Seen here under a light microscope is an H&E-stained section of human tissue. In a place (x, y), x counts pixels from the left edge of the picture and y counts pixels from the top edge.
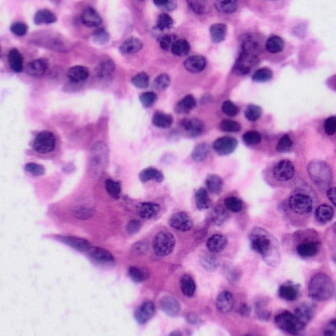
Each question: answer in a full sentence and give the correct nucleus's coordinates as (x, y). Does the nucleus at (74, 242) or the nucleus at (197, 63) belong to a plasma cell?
Among the two nuclei, the one found at (197, 63) belongs to a plasma cell.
